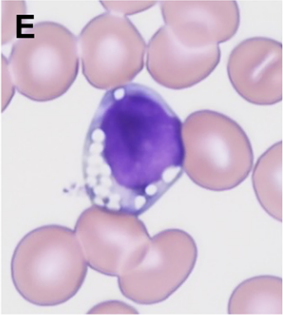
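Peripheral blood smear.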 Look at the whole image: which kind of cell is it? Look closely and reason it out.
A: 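Vacuolated lymphocytes. A single nucleated cell with a dense, dark purple round nucleus sits among pink red blood cells. The rim of cytoplasm around the nucleus holds several clear, round, punched-out vacuoles.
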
